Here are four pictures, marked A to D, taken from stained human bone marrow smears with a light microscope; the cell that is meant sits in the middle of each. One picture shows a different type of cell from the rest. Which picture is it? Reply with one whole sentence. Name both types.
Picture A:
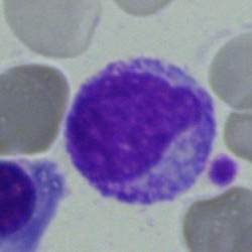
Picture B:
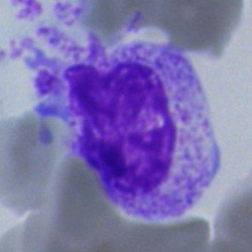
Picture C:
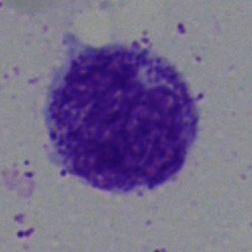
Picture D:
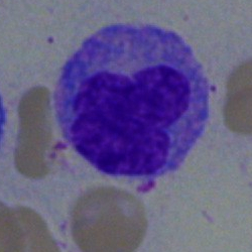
The different one is picture D; it shows a monocyte, whereas all the others show myelocytes.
